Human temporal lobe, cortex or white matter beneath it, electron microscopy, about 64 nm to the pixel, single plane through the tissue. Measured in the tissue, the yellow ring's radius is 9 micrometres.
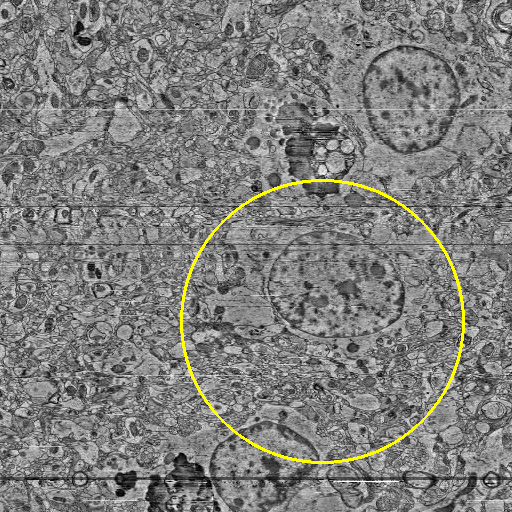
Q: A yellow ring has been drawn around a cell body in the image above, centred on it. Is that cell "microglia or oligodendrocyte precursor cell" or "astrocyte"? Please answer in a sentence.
The ring surrounds the cell body of an astrocyte.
